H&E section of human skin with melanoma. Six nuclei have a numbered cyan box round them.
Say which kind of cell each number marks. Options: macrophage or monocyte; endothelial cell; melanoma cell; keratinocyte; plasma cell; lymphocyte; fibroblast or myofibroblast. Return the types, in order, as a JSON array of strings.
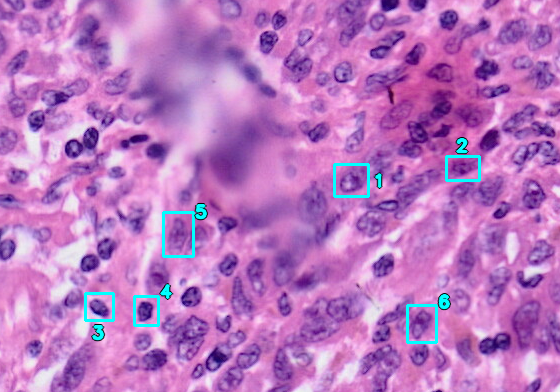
["melanoma cell", "melanoma cell", "lymphocyte", "lymphocyte", "melanoma cell", "melanoma cell"]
